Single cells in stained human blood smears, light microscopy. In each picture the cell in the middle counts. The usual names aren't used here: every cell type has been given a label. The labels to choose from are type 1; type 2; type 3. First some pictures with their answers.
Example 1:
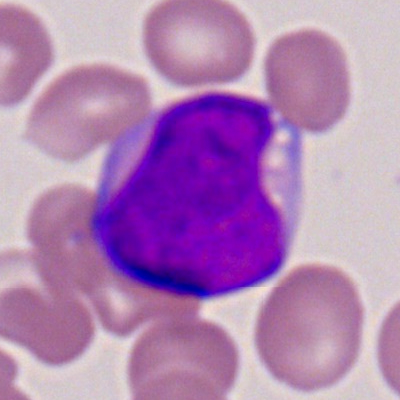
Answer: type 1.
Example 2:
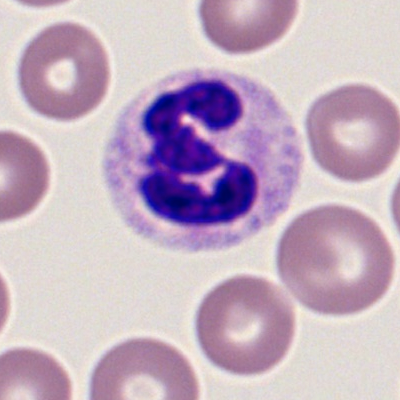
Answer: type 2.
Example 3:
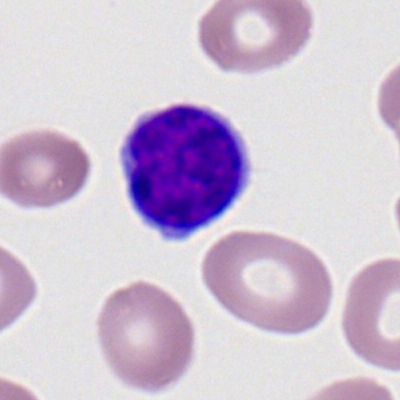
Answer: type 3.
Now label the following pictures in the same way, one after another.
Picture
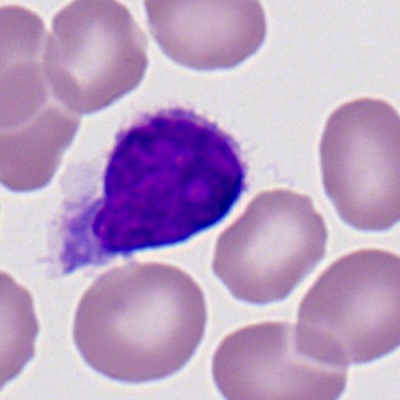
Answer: type 3.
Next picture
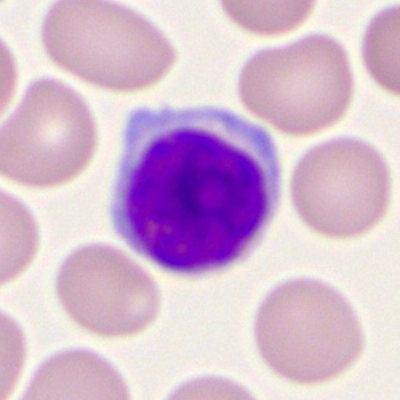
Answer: type 3.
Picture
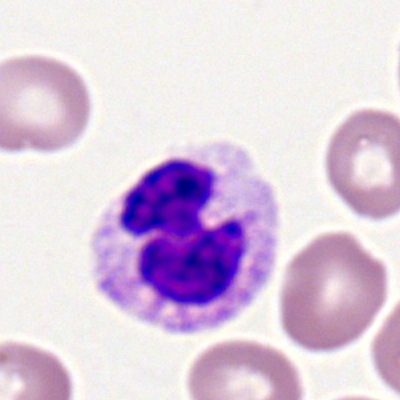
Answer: type 2.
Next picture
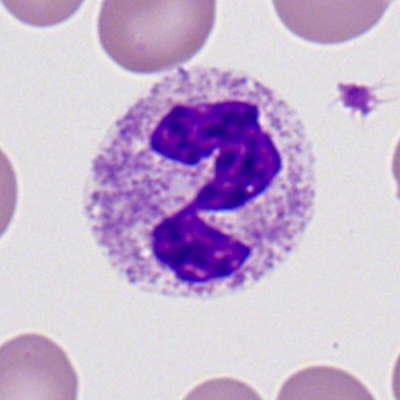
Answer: type 2.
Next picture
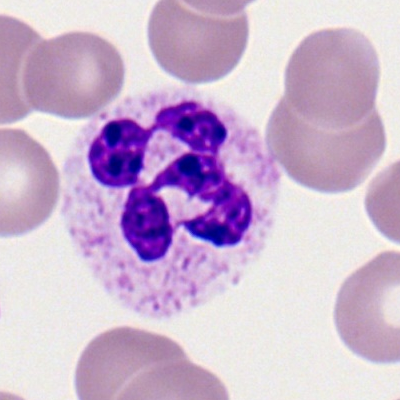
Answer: type 2.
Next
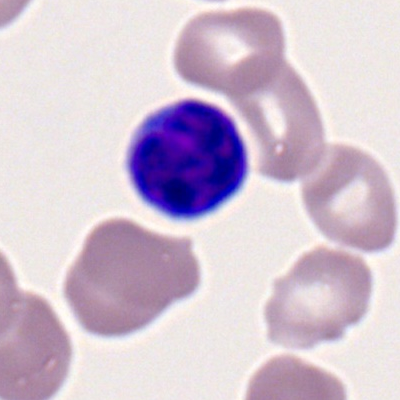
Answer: type 3.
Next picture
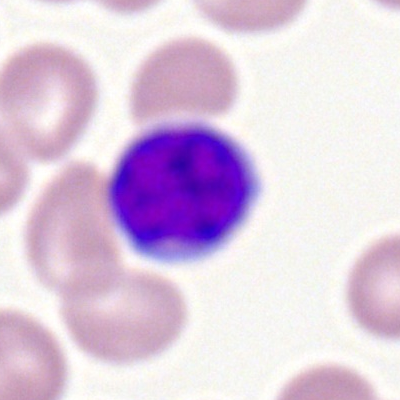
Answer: type 3.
